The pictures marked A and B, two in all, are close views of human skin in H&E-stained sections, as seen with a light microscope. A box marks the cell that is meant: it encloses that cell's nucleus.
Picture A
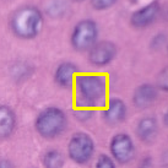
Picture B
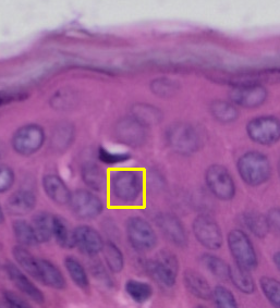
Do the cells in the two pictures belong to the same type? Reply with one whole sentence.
No, picture A shows a suprabasal keratinocyte and picture B shows a basal keratinocyte.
